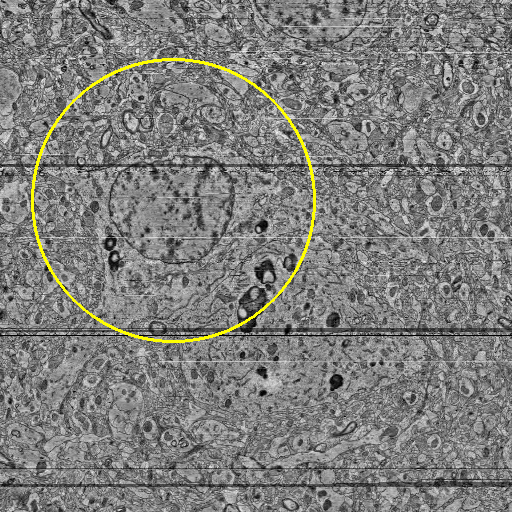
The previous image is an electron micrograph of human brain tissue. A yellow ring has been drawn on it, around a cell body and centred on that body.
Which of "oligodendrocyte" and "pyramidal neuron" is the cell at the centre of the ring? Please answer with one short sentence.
The cell body at the centre of the ring belongs to a pyramidal neuron.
